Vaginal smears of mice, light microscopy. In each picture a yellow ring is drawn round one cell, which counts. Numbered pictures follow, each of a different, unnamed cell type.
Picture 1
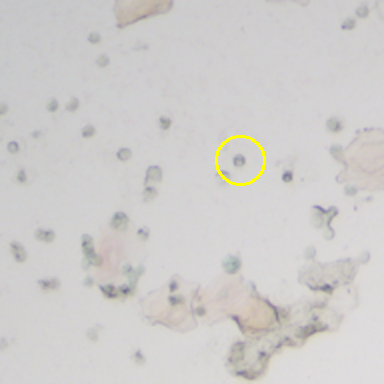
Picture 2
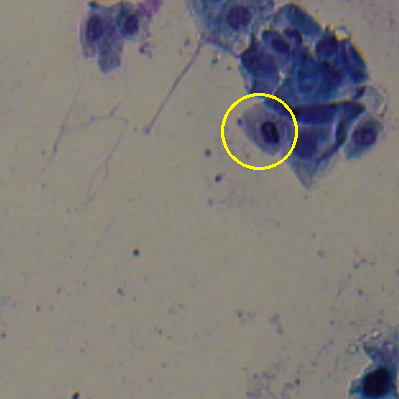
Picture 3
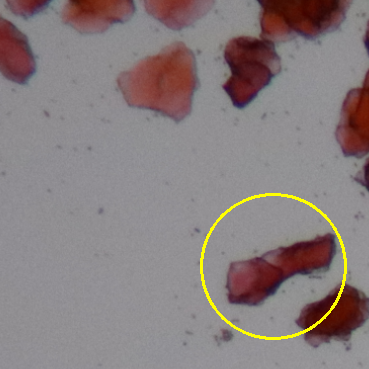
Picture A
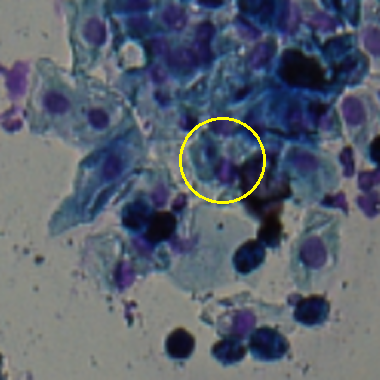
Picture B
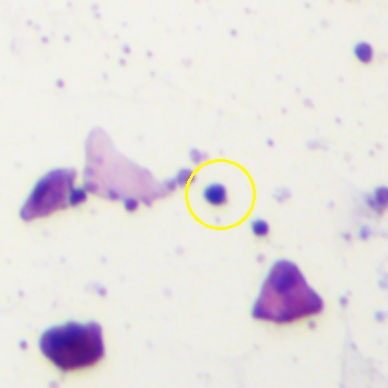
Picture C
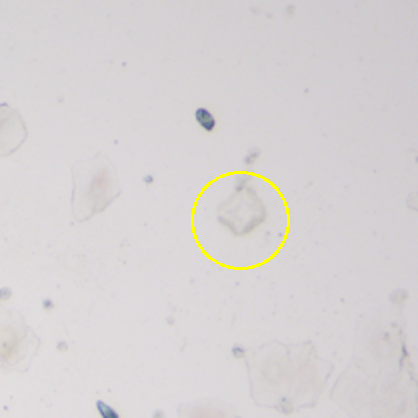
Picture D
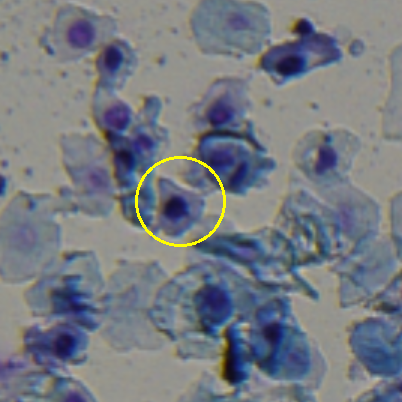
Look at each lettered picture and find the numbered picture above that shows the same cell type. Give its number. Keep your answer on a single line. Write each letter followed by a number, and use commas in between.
A 2, B 1, C 3, D 2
